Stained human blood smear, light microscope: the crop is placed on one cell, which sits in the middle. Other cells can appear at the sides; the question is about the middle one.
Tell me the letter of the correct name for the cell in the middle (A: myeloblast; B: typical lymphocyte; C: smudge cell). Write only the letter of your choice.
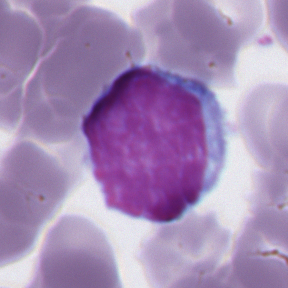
B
